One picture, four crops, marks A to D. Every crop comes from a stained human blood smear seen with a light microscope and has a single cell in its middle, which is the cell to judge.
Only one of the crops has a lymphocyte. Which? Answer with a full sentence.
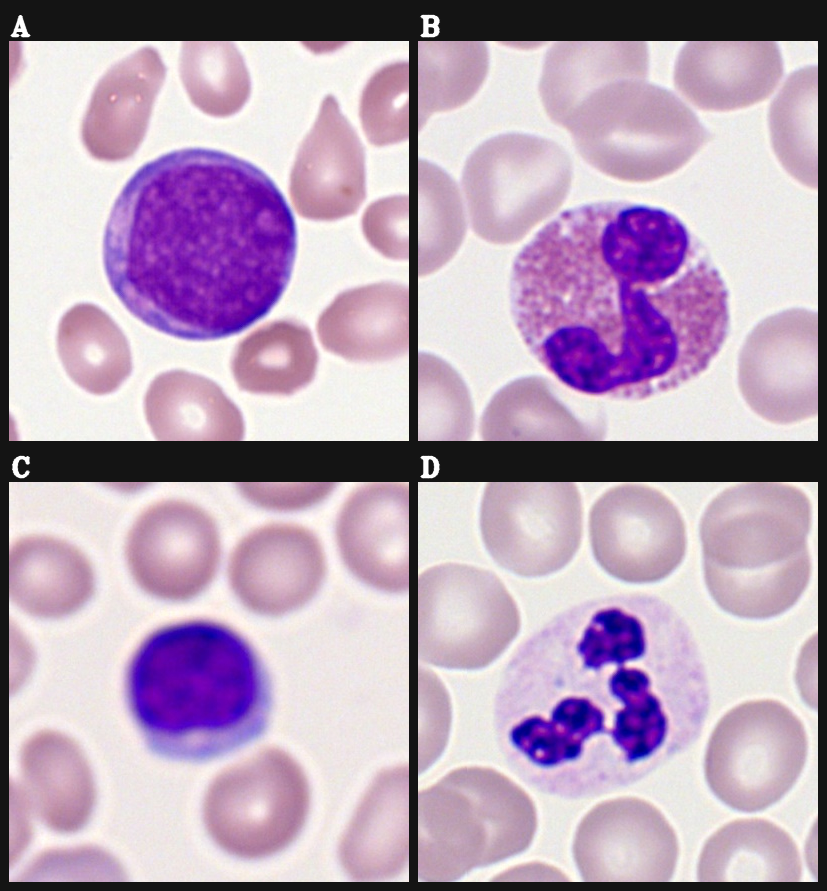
Identified crop: C, the one that shows a lymphocyte.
